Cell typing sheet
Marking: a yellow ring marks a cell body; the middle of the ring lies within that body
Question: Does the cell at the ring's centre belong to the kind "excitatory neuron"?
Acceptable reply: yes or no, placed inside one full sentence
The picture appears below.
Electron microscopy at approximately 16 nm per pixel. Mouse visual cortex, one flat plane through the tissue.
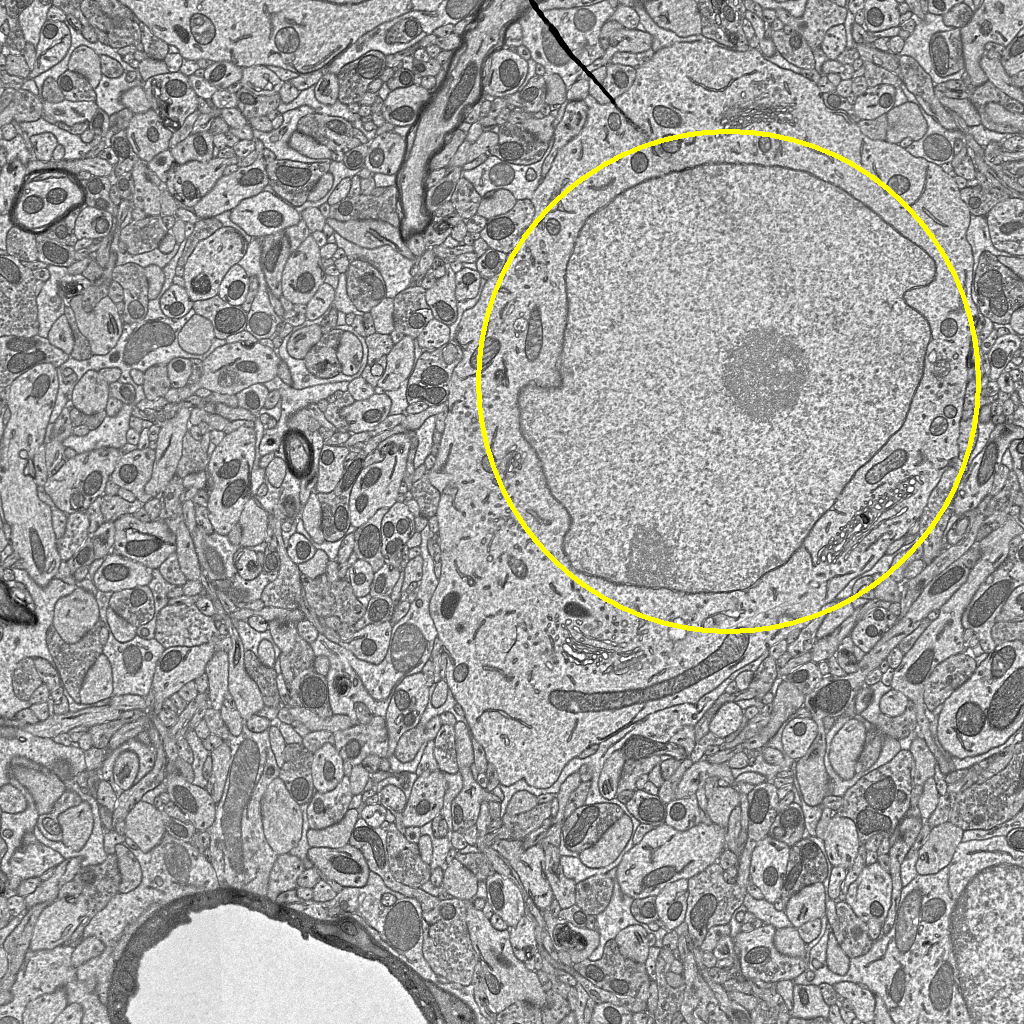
Yes, the cell at the centre of the ring is of the kind asked about.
